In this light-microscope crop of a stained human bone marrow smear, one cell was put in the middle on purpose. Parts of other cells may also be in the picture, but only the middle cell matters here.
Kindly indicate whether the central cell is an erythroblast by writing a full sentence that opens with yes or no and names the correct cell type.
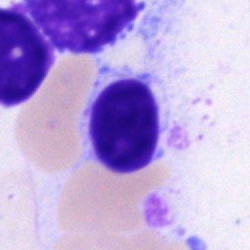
No, the central cell here is a lymphocyte; calling it an erythroblast is not right.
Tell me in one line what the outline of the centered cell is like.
The boundary of the cell runs irregularly, ragged in parts or drawn into projections.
